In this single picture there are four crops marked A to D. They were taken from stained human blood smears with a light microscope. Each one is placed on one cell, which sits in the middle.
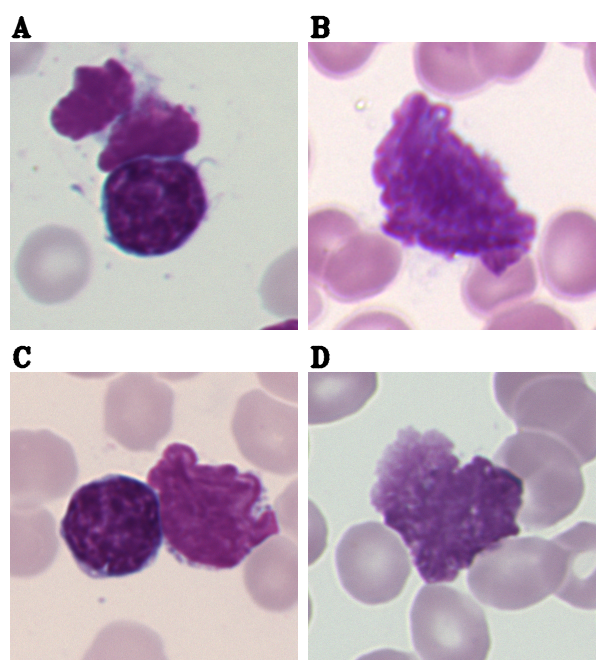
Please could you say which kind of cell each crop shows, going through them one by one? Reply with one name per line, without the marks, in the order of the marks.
myeloblast
smudge cell
myeloblast
smudge cell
